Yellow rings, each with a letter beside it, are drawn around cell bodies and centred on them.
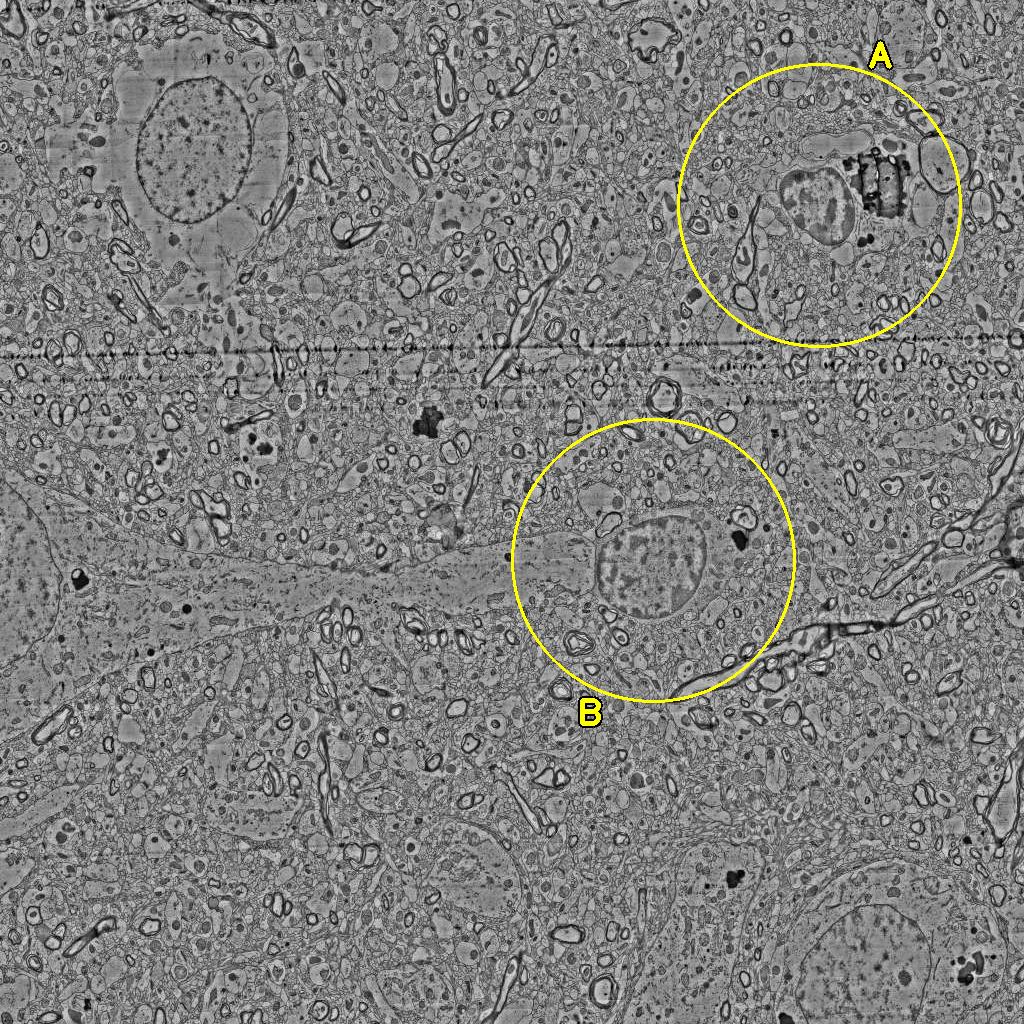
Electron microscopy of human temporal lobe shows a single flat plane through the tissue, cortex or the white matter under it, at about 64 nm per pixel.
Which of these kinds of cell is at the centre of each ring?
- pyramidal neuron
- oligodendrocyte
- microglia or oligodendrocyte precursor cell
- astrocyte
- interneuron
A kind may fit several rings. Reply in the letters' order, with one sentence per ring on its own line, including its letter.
The cell in the middle of ring A is a microglial cell or oligodendrocyte precursor cell.
The cell in the middle of ring B is an oligodendrocyte.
